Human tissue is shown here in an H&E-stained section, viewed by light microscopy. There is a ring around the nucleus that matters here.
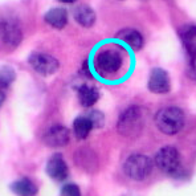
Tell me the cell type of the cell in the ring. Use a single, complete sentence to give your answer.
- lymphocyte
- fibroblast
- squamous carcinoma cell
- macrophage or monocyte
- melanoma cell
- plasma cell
Students should answer that the cell in the ring is a plasma cell.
